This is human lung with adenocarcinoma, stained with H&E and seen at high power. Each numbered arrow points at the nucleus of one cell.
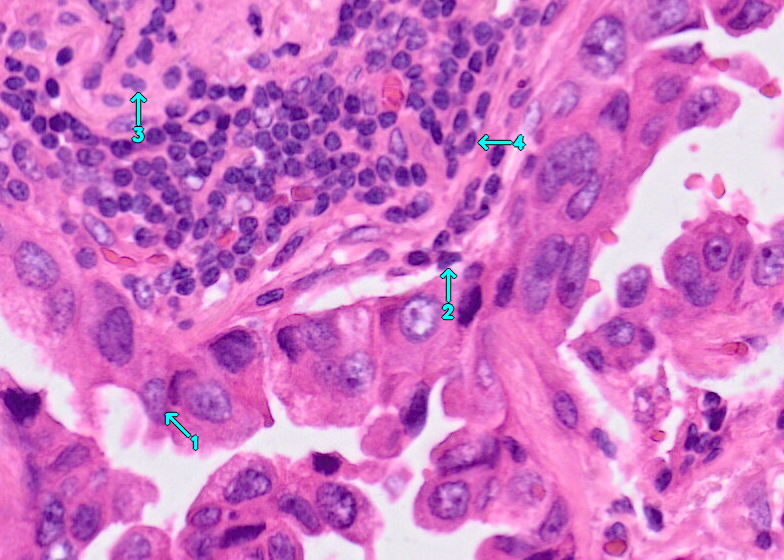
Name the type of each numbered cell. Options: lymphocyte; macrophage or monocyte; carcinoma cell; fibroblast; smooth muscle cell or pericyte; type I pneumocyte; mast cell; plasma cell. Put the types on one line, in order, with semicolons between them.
carcinoma cell; lymphocyte; lymphocyte; lymphocyte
